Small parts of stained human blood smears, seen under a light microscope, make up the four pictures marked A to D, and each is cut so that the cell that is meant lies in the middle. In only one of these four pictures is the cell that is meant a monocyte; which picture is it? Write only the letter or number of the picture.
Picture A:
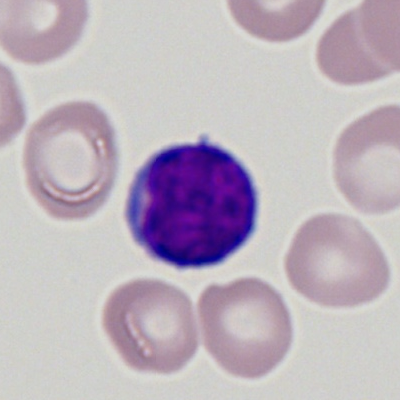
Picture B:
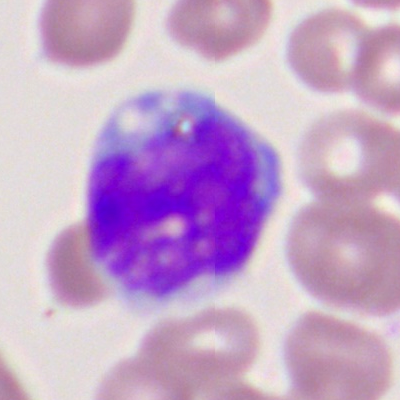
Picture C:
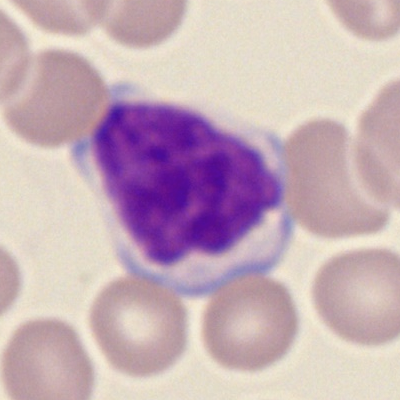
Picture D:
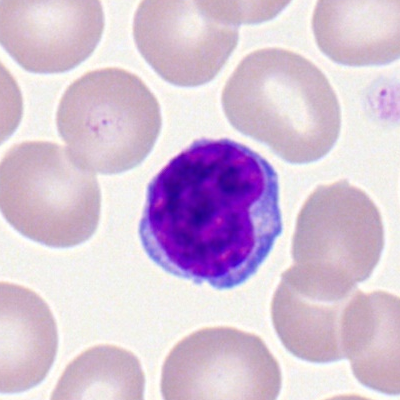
B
